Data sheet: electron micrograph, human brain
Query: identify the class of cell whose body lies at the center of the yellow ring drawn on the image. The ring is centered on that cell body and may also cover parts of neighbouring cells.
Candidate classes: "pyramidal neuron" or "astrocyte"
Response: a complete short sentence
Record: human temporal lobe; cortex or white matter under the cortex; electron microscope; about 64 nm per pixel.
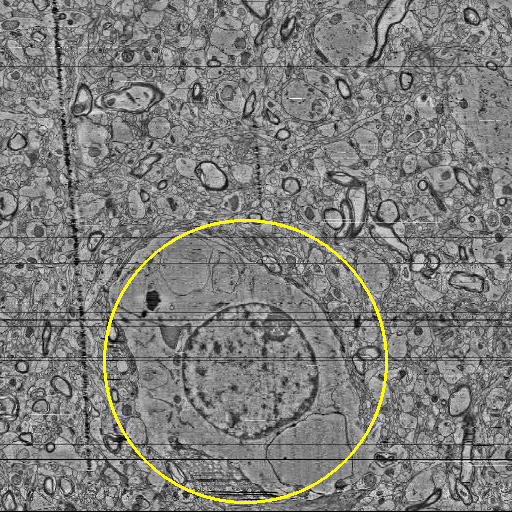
At the center of the ring lies an astrocyte.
